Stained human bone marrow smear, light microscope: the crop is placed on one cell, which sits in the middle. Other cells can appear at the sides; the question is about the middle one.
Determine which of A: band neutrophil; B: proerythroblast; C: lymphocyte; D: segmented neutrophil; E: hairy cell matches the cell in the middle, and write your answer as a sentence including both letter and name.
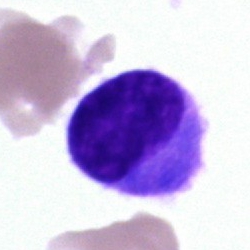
Answer key: option E, the middle cell being a hairy cell.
